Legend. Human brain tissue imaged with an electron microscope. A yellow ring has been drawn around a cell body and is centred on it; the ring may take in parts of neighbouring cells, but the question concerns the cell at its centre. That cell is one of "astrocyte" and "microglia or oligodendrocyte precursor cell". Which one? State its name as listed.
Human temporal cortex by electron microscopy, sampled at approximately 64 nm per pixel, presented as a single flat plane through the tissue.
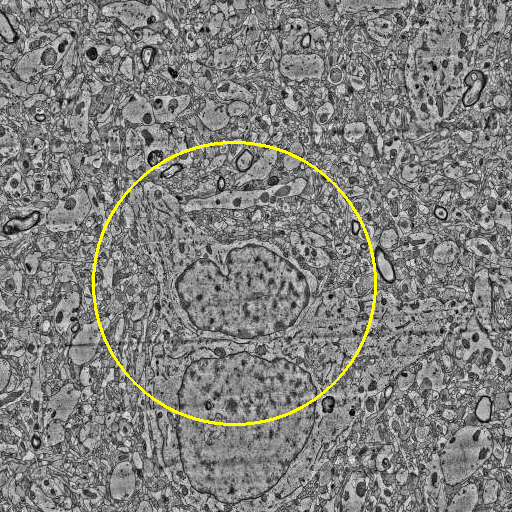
microglia or oligodendrocyte precursor cell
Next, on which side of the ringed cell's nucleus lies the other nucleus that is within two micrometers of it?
The other nucleus appears below it.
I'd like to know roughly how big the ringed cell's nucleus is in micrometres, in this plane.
Roughly 8 by 6 micrometres in this plane, for the nucleus of the ringed cell.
